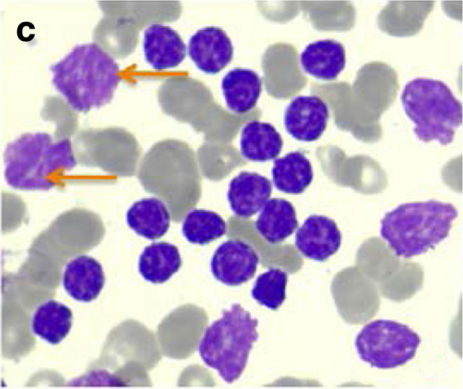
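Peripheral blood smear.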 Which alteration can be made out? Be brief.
hypermature clumped chromatin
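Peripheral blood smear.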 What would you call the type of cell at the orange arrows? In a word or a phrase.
Smudge cells.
